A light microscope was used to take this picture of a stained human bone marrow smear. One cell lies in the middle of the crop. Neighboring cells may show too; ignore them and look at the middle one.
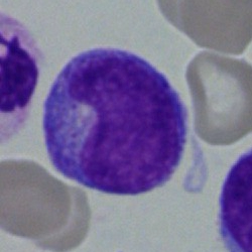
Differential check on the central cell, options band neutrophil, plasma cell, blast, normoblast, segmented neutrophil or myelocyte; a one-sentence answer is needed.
The single cell at the center of the crop is a blast.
